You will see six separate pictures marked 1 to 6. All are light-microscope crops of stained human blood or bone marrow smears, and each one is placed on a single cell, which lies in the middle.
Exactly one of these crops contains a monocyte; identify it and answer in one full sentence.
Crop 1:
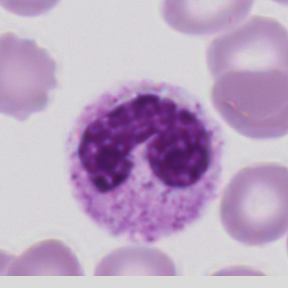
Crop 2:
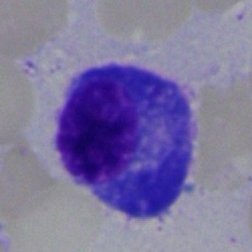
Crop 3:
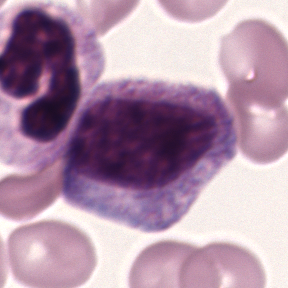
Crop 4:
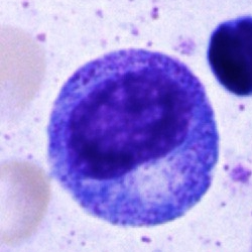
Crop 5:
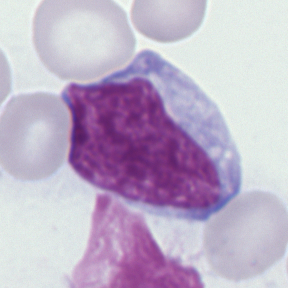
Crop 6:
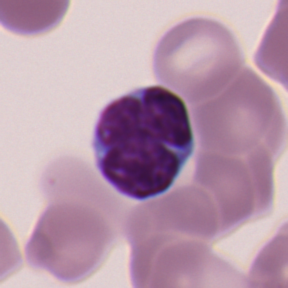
Crop 5, and no other, shows a monocyte.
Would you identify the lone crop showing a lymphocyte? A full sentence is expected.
The crop in which a lymphocyte is shown is crop 6.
